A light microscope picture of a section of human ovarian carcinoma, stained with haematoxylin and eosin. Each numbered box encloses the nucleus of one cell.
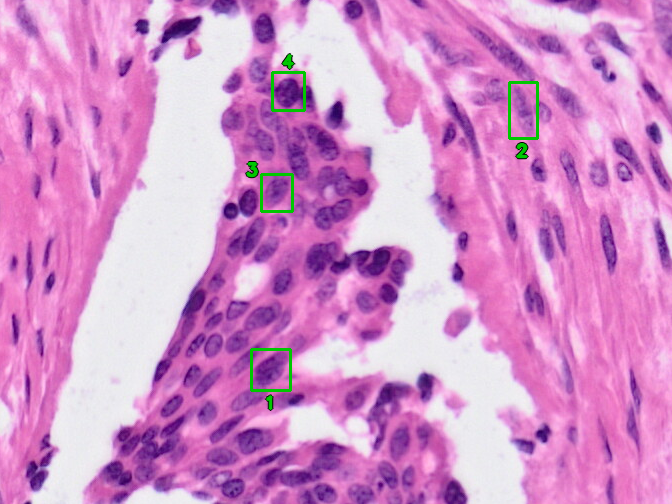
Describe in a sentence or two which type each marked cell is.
Cell 1 is a carcinoma cell, cell 2 is a fibroblast, cell 3 is a carcinoma cell and cell 4 is a carcinoma cell.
